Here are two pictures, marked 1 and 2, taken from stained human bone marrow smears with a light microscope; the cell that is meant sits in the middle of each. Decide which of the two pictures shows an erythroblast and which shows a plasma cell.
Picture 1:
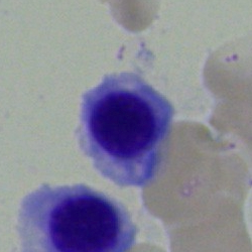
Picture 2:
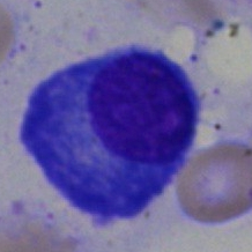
1: erythroblast
2: plasma cell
